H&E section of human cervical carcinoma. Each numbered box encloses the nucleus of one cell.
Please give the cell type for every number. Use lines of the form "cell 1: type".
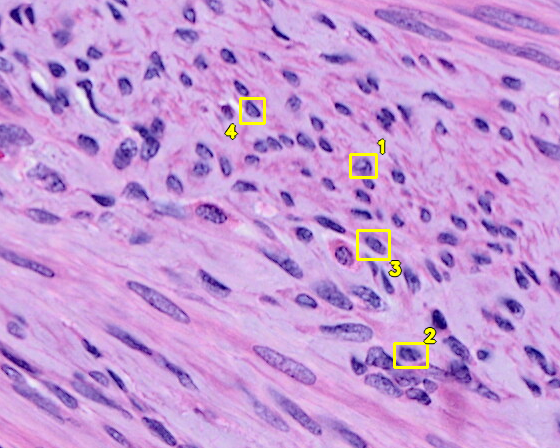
cell 1: smooth muscle cell
cell 2: lymphocyte
cell 3: smooth muscle cell
cell 4: smooth muscle cell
